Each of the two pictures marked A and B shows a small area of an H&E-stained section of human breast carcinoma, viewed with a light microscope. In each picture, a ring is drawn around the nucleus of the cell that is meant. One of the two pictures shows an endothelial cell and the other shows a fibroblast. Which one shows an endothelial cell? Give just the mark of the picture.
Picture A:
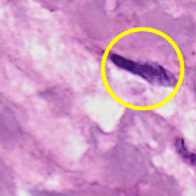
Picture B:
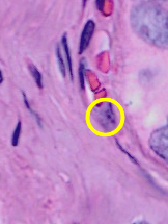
B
